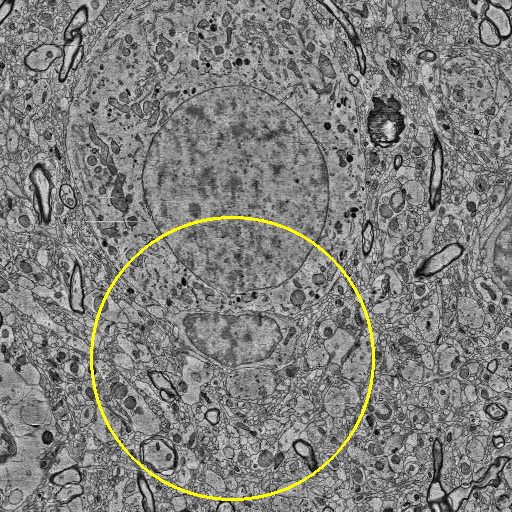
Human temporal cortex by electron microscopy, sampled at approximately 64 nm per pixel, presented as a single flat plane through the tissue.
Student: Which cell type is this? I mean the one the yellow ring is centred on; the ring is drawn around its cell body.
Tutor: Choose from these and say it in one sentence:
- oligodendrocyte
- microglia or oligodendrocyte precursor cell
The cell the ring is centred on is an oligodendrocyte.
